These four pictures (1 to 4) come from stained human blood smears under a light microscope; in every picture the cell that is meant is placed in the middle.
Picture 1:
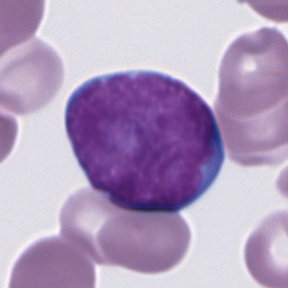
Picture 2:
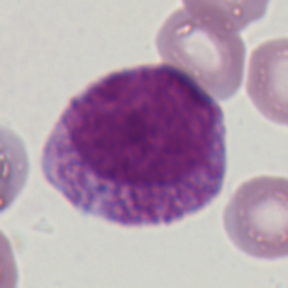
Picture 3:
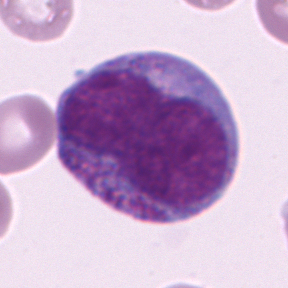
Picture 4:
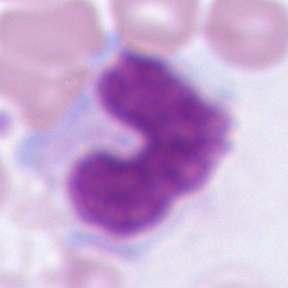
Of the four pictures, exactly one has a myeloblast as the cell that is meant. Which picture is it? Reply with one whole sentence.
The picture with the myeloblast is 1.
